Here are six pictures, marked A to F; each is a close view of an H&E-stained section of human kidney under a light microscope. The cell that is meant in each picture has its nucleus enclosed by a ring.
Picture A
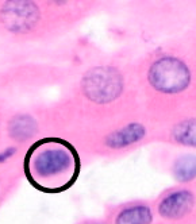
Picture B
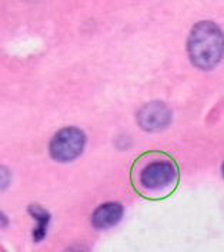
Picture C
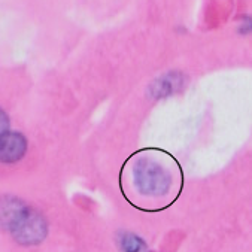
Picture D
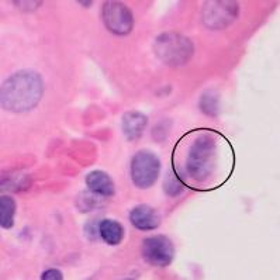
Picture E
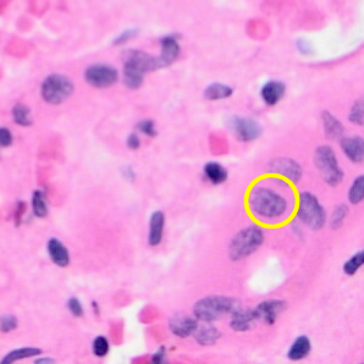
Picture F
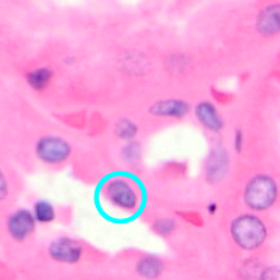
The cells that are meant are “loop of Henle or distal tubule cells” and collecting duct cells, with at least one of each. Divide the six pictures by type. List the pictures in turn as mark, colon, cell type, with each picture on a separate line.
A: loop of Henle or distal tubule cell
B: loop of Henle or distal tubule cell
C: loop of Henle or distal tubule cell
D: collecting duct cell
E: collecting duct cell
F: loop of Henle or distal tubule cell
